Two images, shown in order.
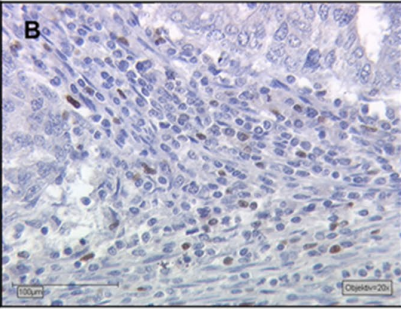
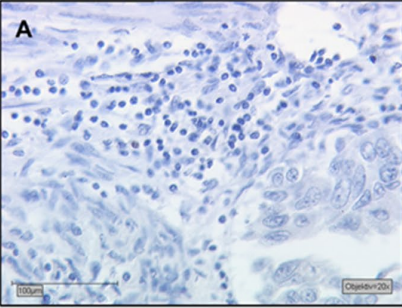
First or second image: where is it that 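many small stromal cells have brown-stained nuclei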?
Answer: The first image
